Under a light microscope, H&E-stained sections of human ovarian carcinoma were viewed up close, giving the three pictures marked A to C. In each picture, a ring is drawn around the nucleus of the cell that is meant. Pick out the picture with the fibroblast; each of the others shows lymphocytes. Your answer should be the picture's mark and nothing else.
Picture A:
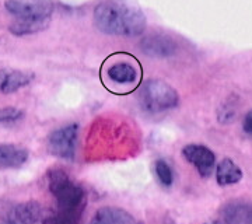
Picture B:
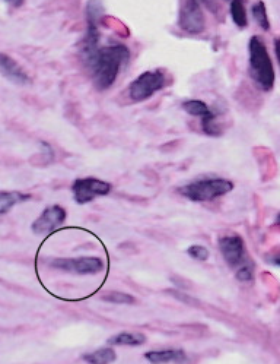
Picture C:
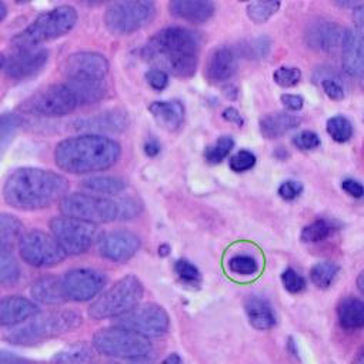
B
